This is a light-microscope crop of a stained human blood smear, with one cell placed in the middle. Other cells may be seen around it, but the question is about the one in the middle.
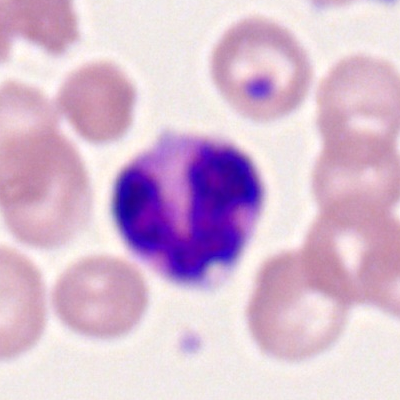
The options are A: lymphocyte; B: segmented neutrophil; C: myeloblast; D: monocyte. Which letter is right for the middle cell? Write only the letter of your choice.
B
